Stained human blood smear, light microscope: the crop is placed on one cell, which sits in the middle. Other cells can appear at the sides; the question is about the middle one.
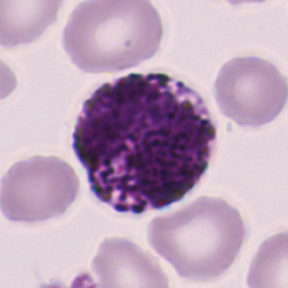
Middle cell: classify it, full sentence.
Regarding the central cell, it is a basophil.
